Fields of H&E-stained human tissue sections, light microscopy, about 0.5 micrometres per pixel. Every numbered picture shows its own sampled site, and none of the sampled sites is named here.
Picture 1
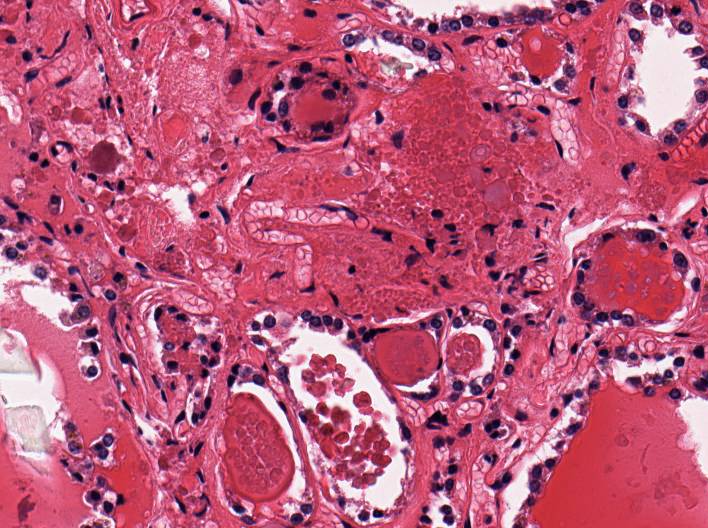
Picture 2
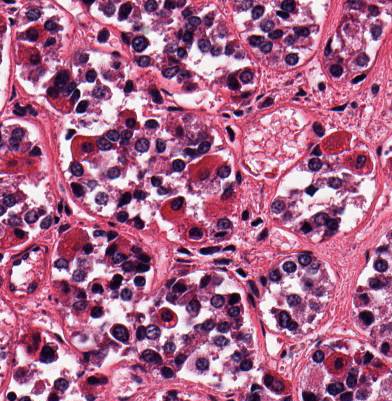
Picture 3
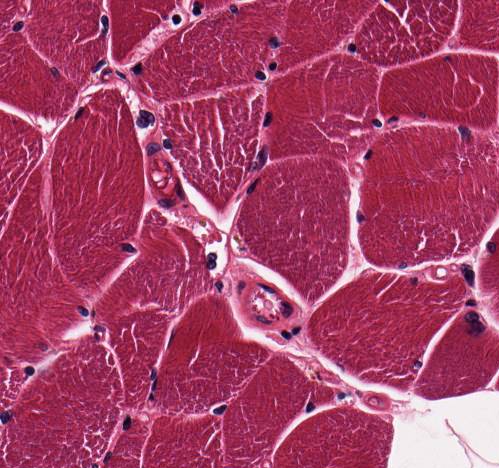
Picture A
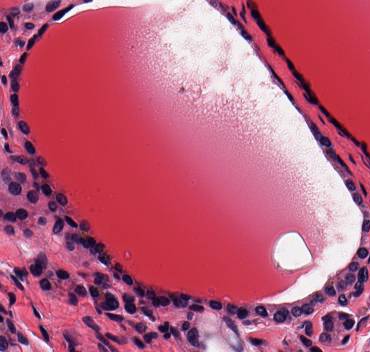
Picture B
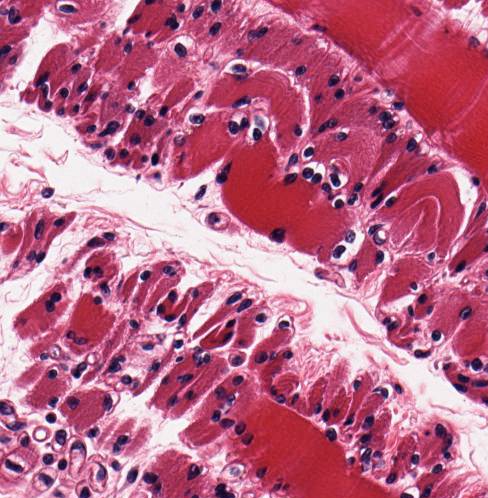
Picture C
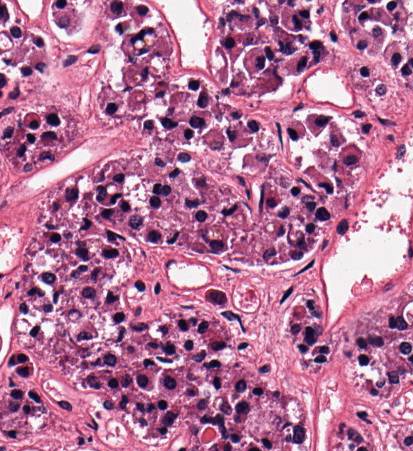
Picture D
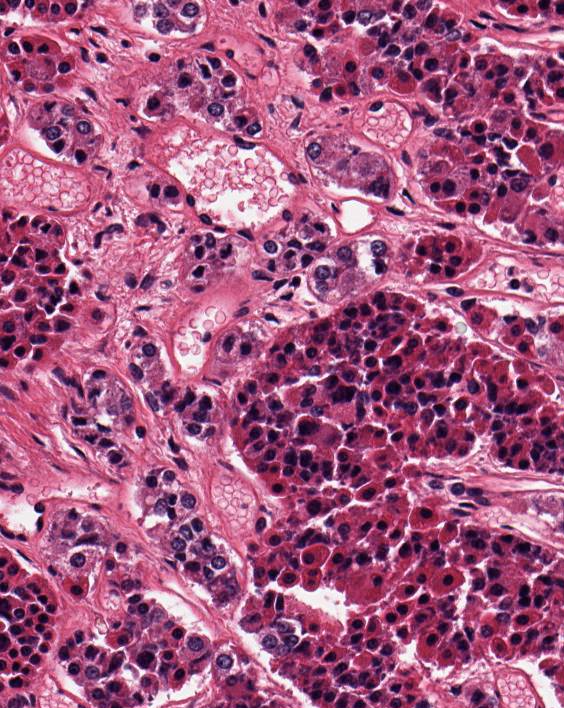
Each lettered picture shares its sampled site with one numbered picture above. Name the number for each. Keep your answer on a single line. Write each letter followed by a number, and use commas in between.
A 1, B 3, C 2, D 2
